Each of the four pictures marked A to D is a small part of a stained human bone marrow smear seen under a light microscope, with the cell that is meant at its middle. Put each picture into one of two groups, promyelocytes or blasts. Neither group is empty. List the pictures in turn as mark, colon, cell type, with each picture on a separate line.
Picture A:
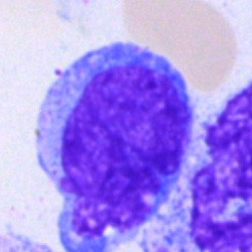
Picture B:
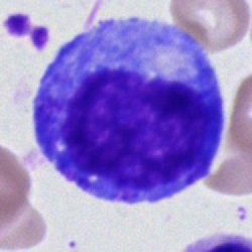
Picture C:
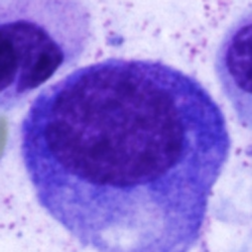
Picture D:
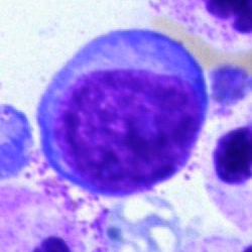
A: blast
B: promyelocyte
C: promyelocyte
D: blast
